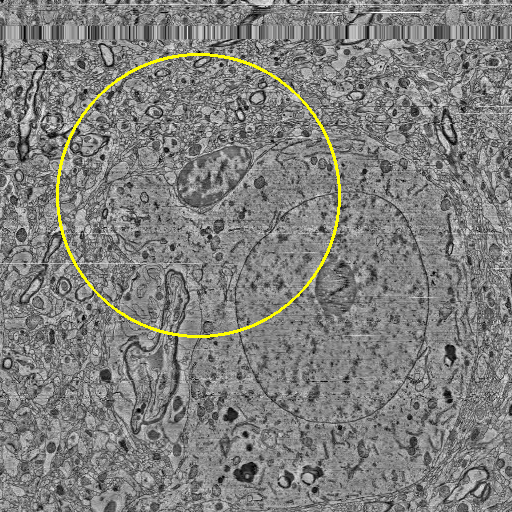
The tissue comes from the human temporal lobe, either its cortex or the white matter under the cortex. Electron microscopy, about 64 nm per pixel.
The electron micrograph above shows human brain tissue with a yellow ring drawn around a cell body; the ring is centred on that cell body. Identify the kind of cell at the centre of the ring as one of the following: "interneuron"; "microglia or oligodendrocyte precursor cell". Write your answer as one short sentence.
The cell at the centre of the ring is a microglial cell or oligodendrocyte precursor cell.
